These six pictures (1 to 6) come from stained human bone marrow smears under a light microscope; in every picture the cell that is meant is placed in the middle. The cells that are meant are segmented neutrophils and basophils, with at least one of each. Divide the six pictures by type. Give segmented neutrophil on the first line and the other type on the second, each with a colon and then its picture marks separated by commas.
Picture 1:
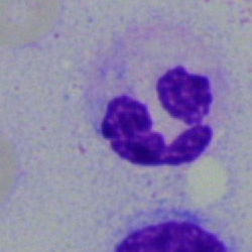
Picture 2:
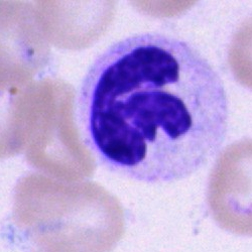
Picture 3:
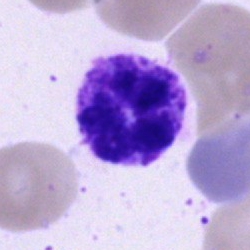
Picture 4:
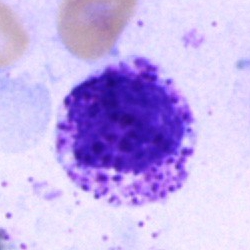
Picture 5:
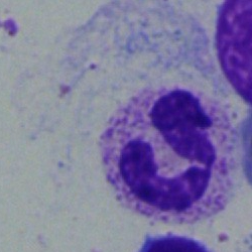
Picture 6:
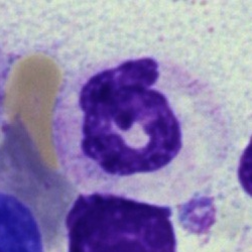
segmented neutrophil: 1, 2, 5, 6
basophil: 3, 4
